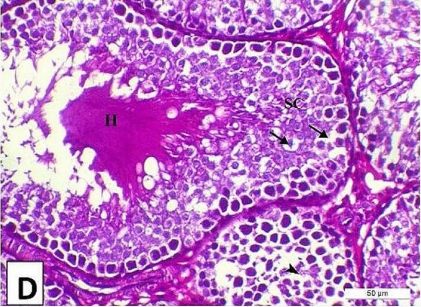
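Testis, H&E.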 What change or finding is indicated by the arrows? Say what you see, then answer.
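Vacuoles. Clear round spaces lie among the cells of the tubule lining. The lining cells look loosened and pale.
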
